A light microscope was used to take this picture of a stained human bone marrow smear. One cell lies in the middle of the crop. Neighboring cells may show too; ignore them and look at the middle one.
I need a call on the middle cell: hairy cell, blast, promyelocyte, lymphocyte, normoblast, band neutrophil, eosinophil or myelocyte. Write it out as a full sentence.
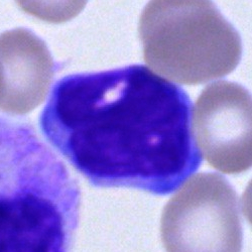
The cell at the middle of the frame should be recorded as a lymphocyte.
